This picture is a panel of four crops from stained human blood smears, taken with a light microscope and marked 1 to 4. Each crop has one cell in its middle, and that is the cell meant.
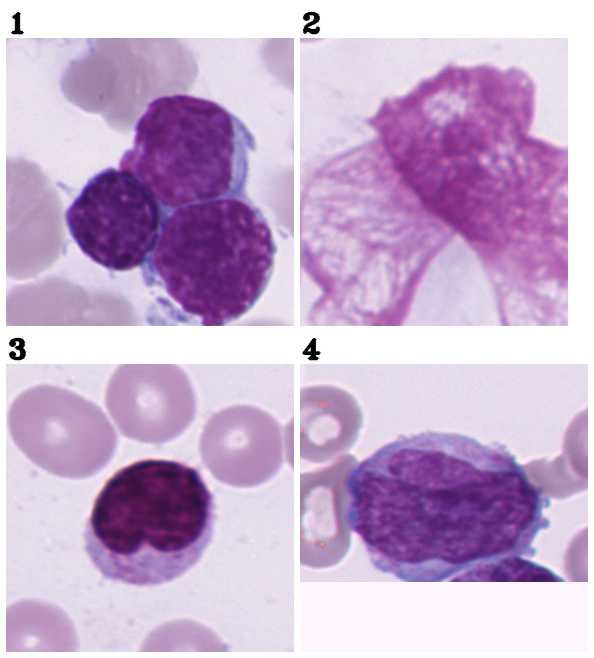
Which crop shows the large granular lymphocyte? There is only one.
3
